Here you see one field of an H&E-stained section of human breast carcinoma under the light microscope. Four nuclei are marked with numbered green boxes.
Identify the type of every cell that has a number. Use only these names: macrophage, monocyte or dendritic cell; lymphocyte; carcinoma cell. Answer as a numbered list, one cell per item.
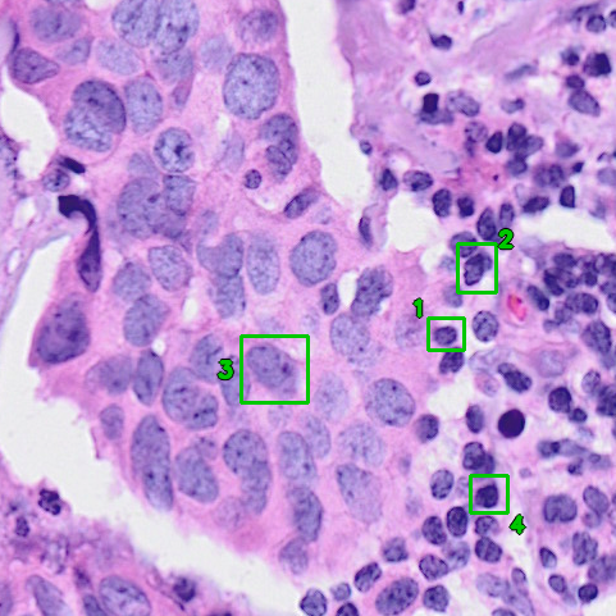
1. lymphocyte
2. lymphocyte
3. carcinoma cell
4. lymphocyte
